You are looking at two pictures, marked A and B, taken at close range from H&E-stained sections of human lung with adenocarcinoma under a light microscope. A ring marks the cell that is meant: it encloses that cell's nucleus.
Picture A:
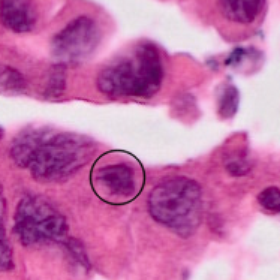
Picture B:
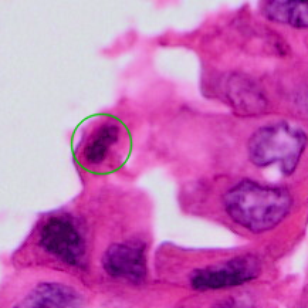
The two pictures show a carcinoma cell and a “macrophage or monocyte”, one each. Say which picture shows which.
A: carcinoma cell
B: macrophage or monocyte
